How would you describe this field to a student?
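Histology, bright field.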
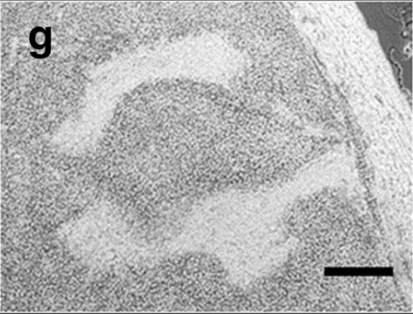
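Within a darker, finely granular mass lie paler bands of tissue. These bands are elongated and branching and give the section a lobed pattern. The finger-like pale regions reach in from near the edge of the section toward its middle. Along the right side, a thin, curved border of more compact, layered tissue runs from top to bottom and marks the edge of the specimen. The contrast between the pale and dark zones is the main feature.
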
